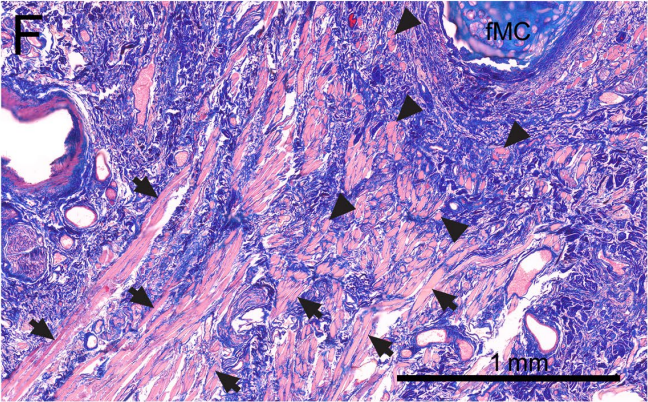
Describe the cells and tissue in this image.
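This section shows muscle fibers running among dense connective tissue next to a cartilage body. The cartilage appears at the top as a blue-staining mass. Below it, pale pink muscle fibers are scattered through a darkly purple-blue connective tissue: many are cut lengthwise and run as parallel elongated strands in an oblique direction, while others are cut across or obliquely as short irregular profiles. Small vessels with open lumens lie among the fibers, and at the left a larger space lined by a wavy border is present.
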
